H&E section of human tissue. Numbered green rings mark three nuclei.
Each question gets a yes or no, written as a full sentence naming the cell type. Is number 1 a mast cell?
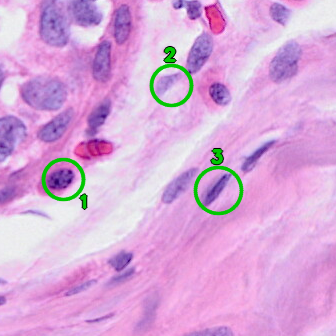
Yes, the cell that the number 1 labels is a mast cell.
